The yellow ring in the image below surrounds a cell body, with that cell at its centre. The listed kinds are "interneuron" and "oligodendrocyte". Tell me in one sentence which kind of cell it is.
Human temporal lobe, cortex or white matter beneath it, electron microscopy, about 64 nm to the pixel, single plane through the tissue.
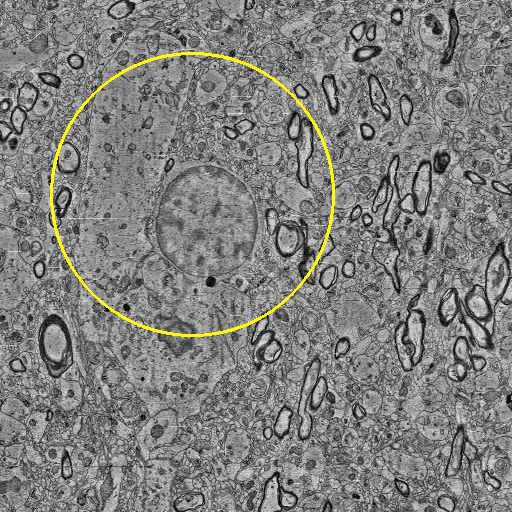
The centre of the ring holds an oligodendrocyte.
